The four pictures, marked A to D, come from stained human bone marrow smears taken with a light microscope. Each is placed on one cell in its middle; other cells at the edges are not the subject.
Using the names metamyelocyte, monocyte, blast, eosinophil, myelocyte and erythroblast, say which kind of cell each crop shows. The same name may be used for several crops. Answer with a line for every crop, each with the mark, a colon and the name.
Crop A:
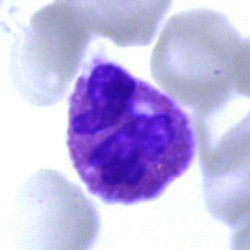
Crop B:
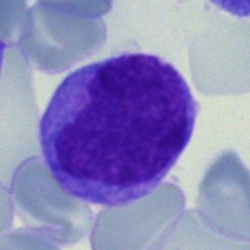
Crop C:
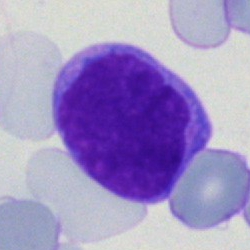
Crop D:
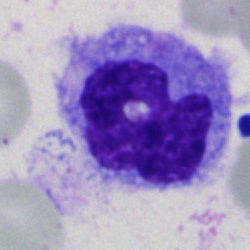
A: eosinophil
B: blast
C: blast
D: monocyte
